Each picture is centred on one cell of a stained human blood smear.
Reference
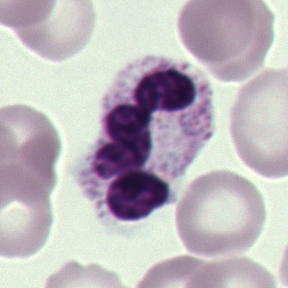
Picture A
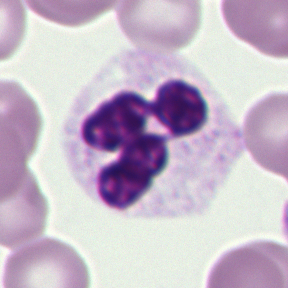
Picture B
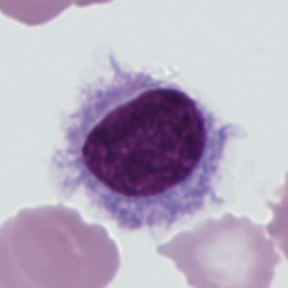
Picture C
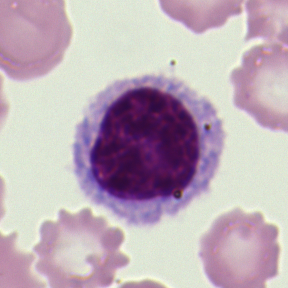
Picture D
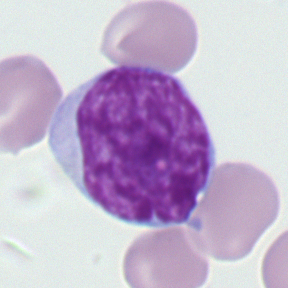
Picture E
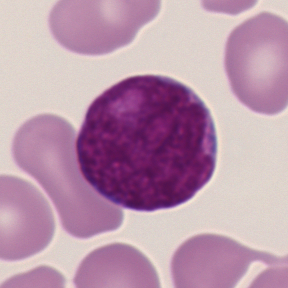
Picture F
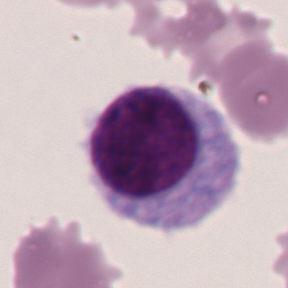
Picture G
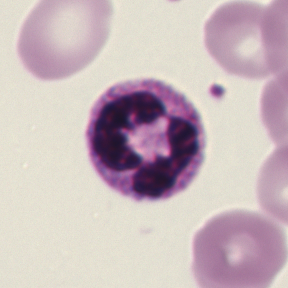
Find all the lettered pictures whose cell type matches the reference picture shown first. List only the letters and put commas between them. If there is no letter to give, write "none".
A, G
